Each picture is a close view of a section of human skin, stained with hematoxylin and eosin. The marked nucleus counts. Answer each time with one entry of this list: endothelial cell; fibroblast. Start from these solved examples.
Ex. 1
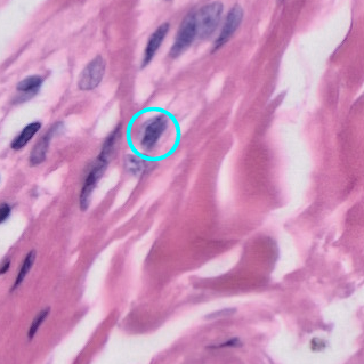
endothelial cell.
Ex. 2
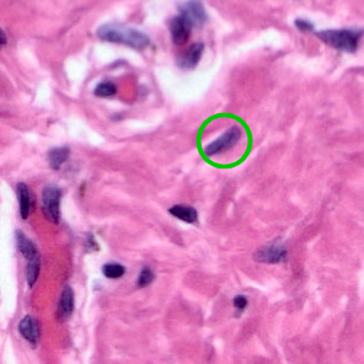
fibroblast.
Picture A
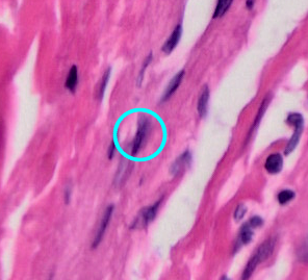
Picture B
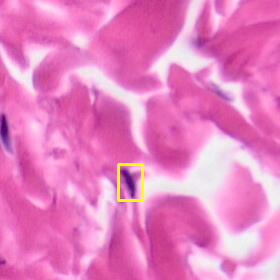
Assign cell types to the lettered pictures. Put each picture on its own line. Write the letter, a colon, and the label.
A: endothelial cell.
B: fibroblast.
